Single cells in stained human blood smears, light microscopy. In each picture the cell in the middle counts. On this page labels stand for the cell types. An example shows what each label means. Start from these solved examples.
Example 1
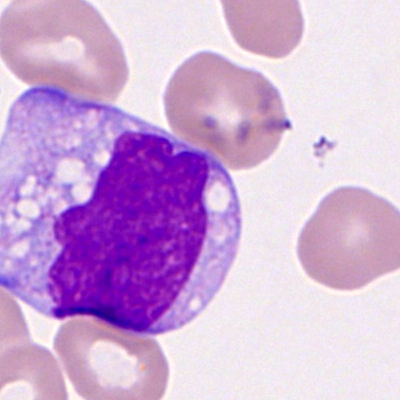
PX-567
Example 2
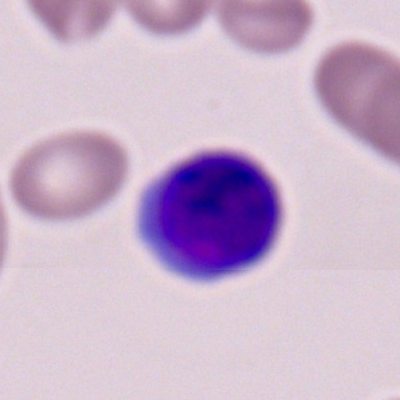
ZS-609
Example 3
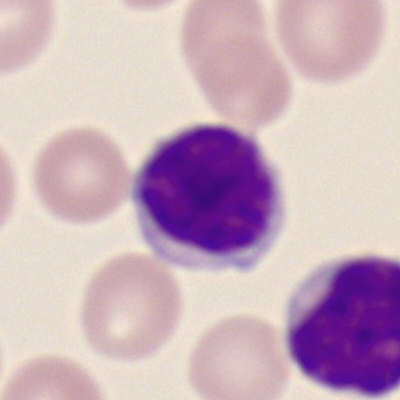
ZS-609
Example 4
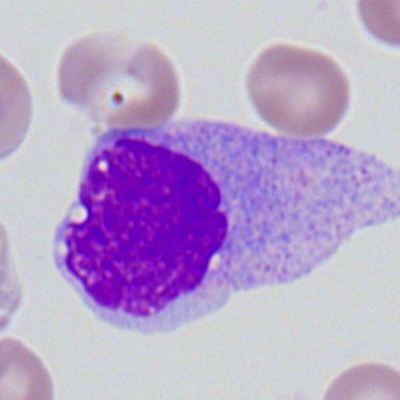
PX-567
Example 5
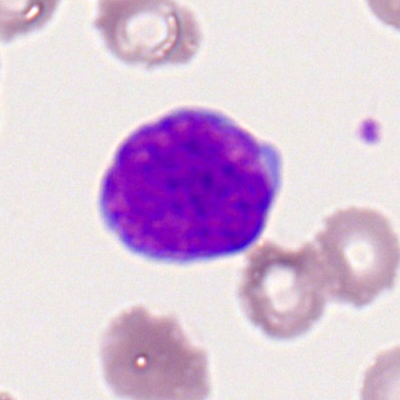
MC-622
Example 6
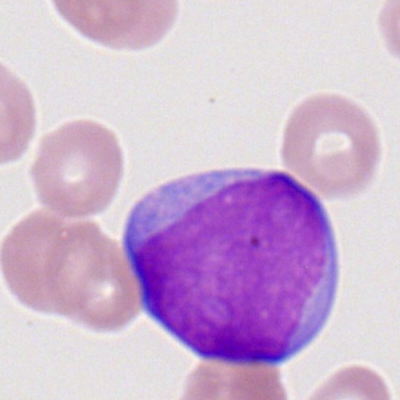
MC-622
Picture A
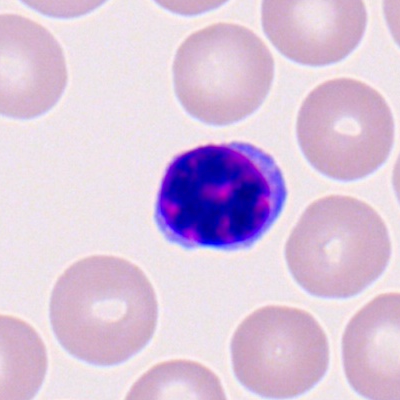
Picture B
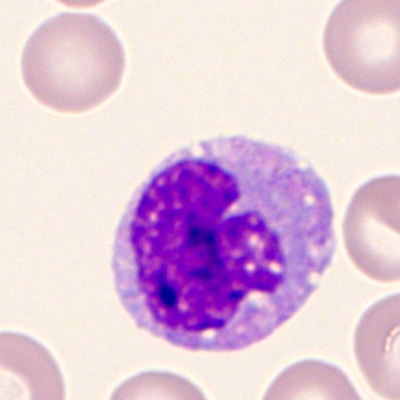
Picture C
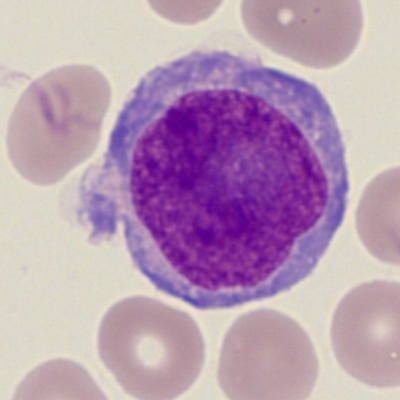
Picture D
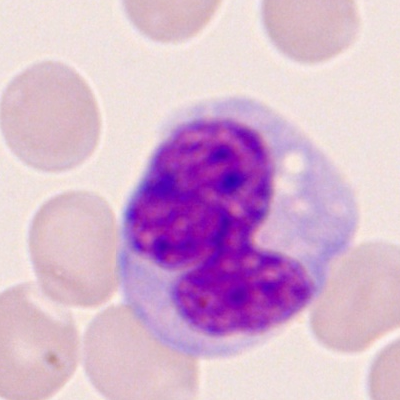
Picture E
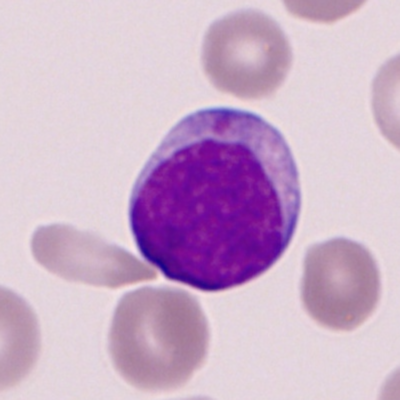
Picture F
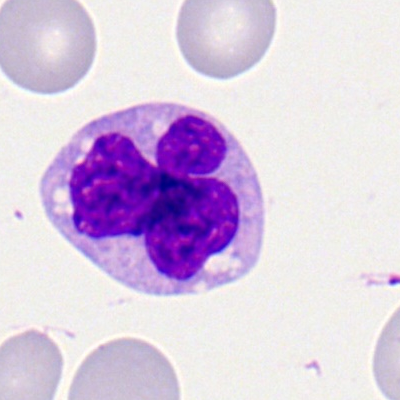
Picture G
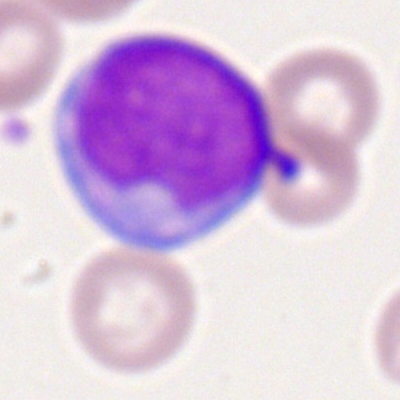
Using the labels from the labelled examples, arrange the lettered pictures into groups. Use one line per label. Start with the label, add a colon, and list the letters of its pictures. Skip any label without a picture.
PX-567: B, D, F
ZS-609: A
MC-622: C, E, G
